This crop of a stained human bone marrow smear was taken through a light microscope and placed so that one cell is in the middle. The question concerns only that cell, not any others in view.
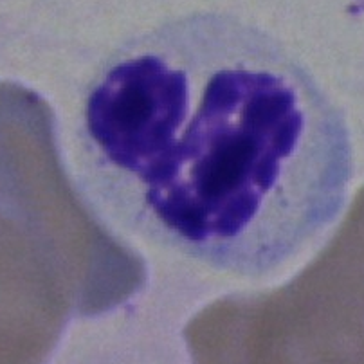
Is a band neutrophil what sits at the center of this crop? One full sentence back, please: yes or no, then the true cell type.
No, what is seen at the centre is a segmented neutrophil instead of a band neutrophil.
